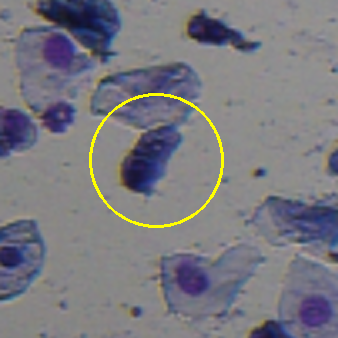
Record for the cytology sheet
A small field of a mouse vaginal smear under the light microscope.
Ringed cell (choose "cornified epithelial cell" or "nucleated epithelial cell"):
cornified epithelial cell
